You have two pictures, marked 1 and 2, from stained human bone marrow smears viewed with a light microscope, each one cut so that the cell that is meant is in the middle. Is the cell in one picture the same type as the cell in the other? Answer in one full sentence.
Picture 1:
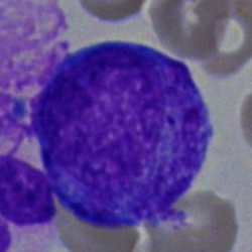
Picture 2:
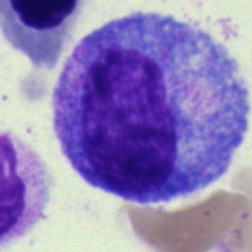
Yes, they are the same type: both are promyelocytes.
